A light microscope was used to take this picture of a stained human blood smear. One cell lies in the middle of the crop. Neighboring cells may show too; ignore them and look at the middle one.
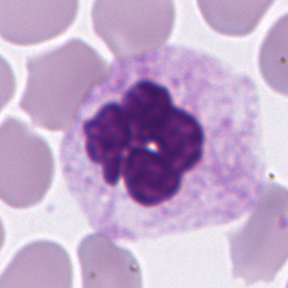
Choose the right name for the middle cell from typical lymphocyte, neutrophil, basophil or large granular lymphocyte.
neutrophil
